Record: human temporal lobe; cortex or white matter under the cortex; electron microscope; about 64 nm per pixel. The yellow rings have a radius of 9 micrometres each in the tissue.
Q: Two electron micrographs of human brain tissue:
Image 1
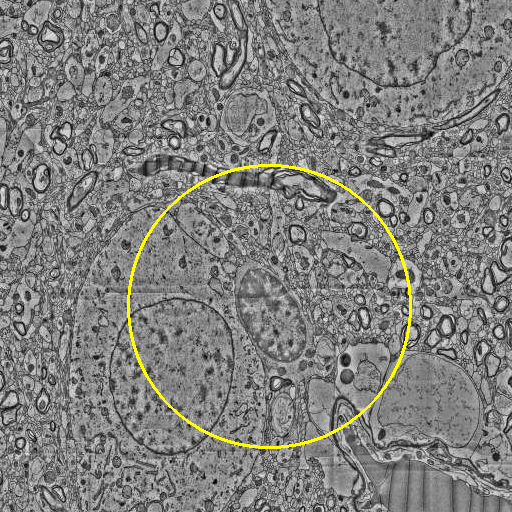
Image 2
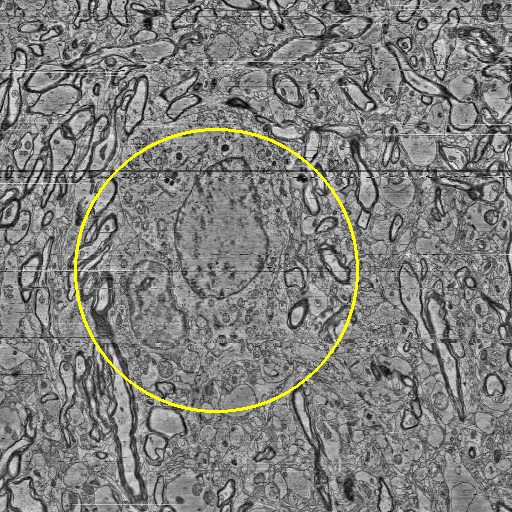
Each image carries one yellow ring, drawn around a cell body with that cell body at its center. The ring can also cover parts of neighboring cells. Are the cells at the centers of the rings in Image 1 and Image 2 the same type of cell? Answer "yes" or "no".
no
